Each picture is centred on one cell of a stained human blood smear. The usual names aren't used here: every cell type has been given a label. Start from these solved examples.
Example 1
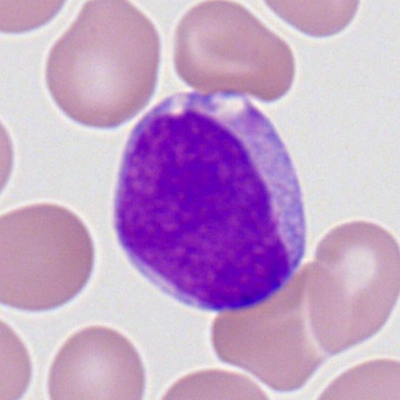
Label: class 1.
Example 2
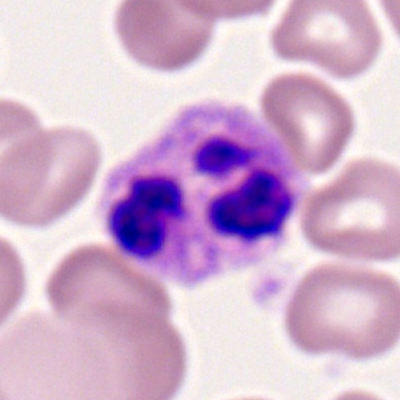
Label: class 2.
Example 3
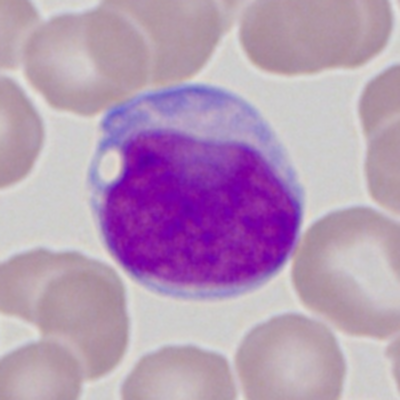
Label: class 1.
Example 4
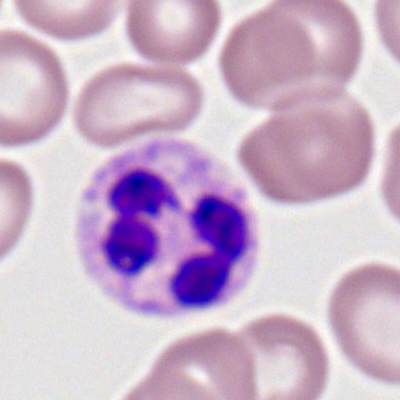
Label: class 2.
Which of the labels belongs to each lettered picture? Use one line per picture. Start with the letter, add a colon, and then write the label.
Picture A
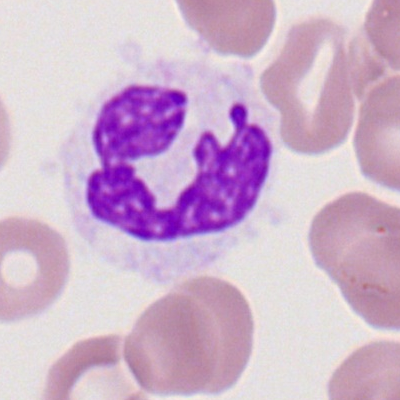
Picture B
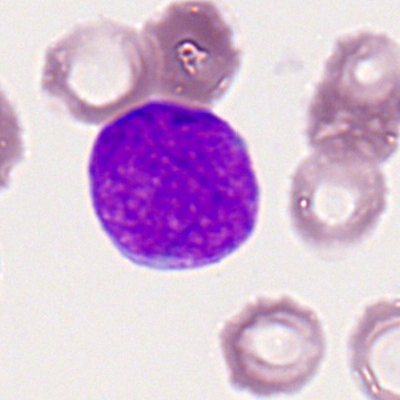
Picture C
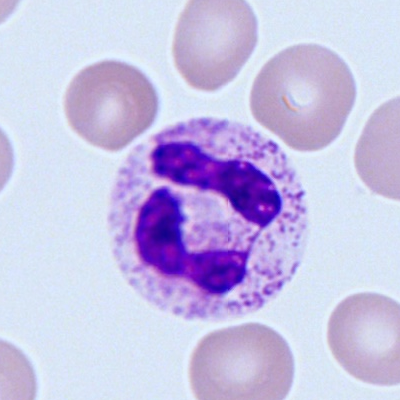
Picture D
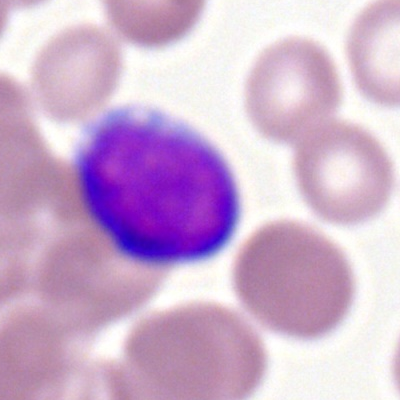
A: class 2.
B: class 1.
C: class 2.
D: class 1.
